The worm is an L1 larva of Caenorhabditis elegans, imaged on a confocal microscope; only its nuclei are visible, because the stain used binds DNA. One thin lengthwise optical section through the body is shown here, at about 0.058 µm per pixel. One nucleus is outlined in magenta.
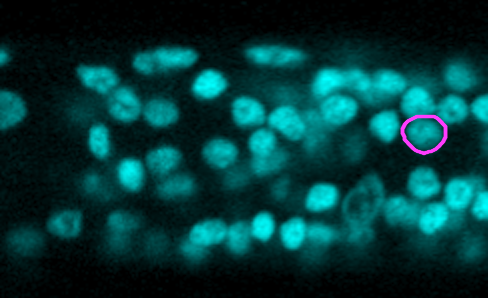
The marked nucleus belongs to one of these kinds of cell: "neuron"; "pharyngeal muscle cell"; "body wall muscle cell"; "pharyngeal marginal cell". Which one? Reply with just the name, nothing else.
neuron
